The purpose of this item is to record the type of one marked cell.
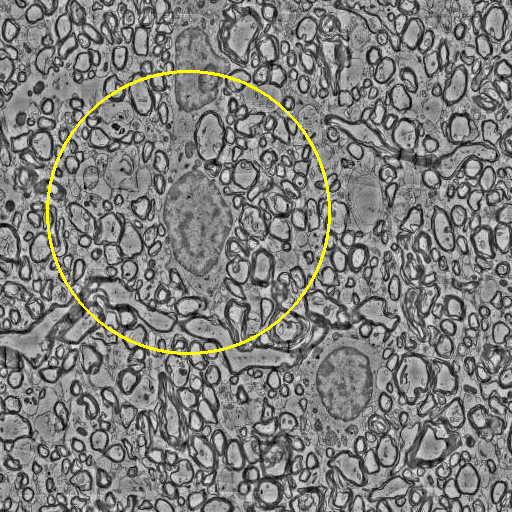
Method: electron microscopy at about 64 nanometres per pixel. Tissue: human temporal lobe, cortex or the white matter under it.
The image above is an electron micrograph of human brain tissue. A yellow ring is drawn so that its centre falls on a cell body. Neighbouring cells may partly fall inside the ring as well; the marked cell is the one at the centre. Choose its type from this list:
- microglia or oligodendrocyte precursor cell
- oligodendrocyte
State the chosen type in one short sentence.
What the ring marks here is an oligodendrocyte.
